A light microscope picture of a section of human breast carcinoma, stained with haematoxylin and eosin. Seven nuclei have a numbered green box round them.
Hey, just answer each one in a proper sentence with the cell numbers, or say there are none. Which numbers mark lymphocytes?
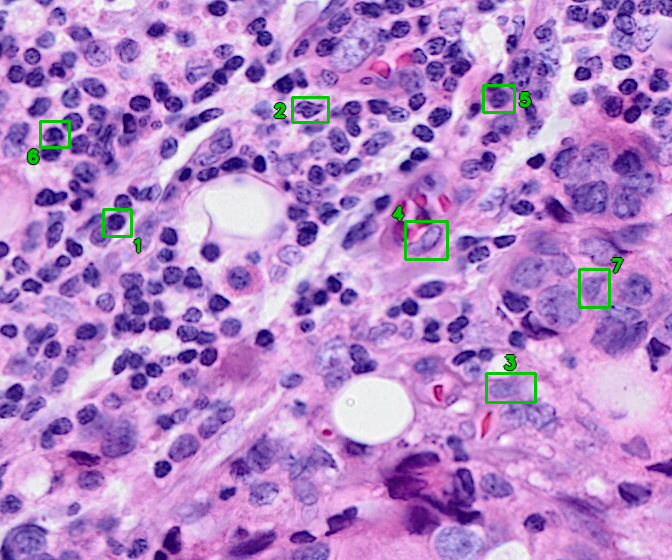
By cell type, the cells numbered 1, 2, 5 and 6 are lymphocytes.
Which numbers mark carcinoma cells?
Only the cell at mark 7 is a carcinoma cell, and no other marked cell is.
